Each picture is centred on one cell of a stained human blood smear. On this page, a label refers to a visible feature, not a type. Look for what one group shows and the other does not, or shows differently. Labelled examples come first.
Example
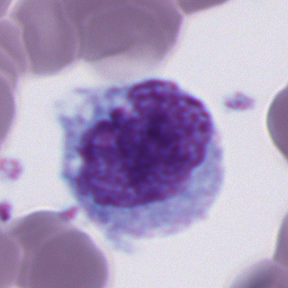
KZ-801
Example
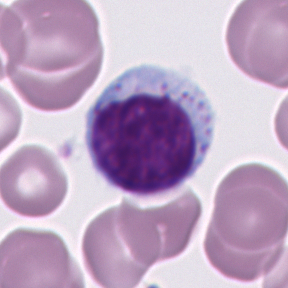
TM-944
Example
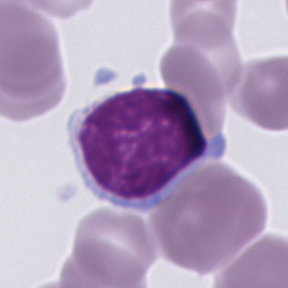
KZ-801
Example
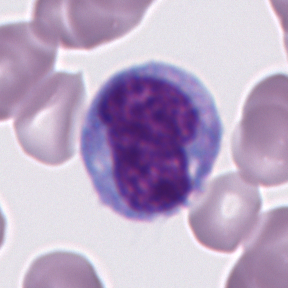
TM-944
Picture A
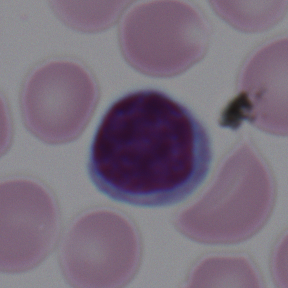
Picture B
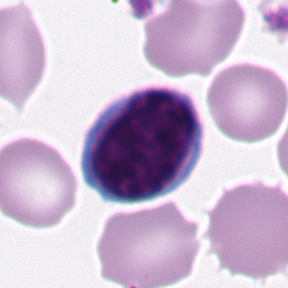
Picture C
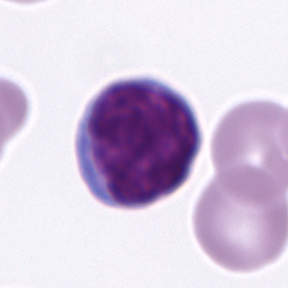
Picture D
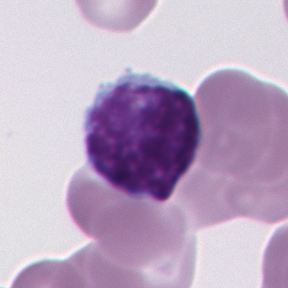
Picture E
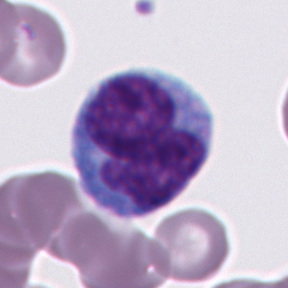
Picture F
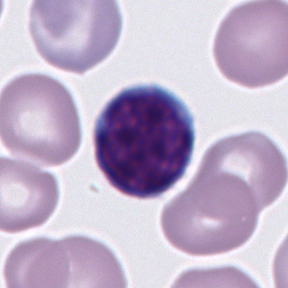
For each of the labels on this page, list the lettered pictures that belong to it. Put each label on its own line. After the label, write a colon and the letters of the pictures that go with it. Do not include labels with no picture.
KZ-801: D
TM-944: A, B, C, E, F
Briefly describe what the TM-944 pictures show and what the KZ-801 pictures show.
TM-944, smooth outline; KZ-801, ragged outline or projections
